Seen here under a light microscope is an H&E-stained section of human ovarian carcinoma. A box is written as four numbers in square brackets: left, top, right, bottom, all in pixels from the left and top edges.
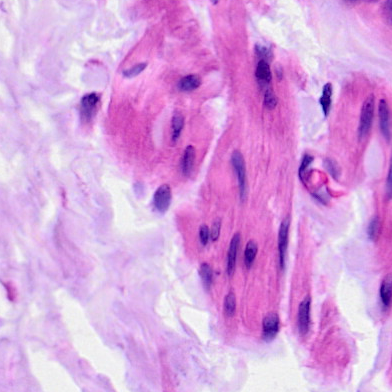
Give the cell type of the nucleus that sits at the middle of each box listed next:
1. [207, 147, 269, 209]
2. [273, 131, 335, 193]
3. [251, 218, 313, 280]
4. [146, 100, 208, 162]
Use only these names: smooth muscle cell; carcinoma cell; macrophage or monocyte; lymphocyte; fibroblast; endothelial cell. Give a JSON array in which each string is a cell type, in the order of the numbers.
["smooth muscle cell", "endothelial cell", "smooth muscle cell", "smooth muscle cell"]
